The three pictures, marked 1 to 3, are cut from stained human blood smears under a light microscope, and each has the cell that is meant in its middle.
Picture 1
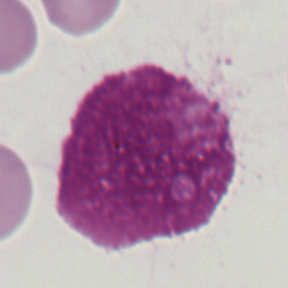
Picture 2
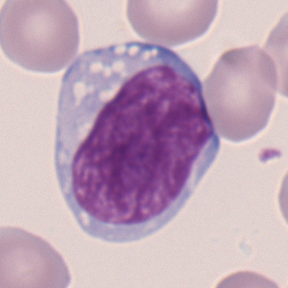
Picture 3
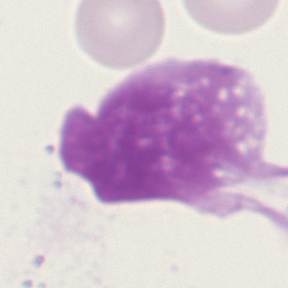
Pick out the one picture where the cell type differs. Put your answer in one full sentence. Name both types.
Unlike the rest, which show smudge cells, picture 2 shows a myeloblast.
